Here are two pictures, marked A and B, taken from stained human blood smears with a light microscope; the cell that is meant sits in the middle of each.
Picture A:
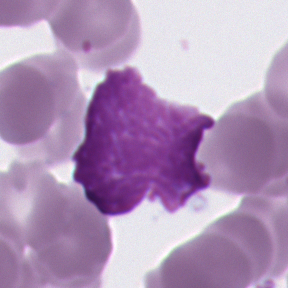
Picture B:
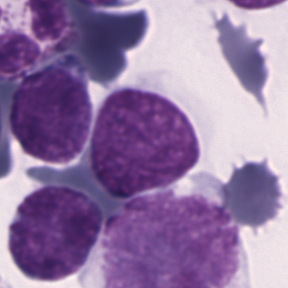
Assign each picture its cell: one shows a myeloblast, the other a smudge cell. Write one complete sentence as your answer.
In picture A the cell is a smudge cell; in picture B, a myeloblast.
